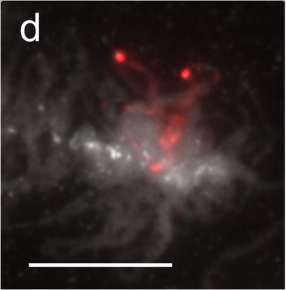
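In grey you see its axis, a row of small, bright, dense dots, the chromomeres, where the chromatin is tightly packed. From this axis many faint, thin threads fan outward on both sides; these are the lateral loops, which give the chromosome its brush-like look.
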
